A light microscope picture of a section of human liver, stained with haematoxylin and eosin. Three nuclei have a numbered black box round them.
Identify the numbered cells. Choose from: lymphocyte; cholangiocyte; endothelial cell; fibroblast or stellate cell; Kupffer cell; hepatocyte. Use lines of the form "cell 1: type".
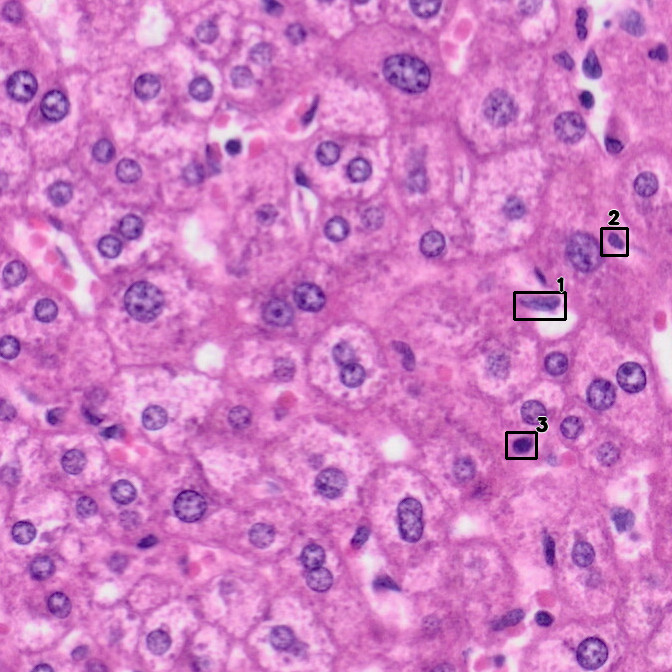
cell 1: Kupffer cell
cell 2: lymphocyte
cell 3: lymphocyte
